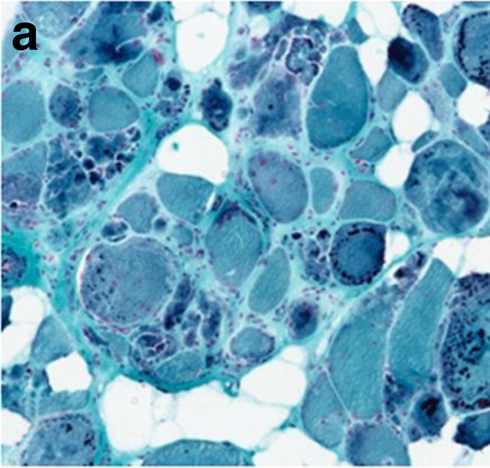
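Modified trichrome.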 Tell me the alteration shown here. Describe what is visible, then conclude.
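Empty white fat cells lie between the muscle fibers. Green-staining connective tissue separates fibers.
Conclusion: fibrofatty tissue replacement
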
